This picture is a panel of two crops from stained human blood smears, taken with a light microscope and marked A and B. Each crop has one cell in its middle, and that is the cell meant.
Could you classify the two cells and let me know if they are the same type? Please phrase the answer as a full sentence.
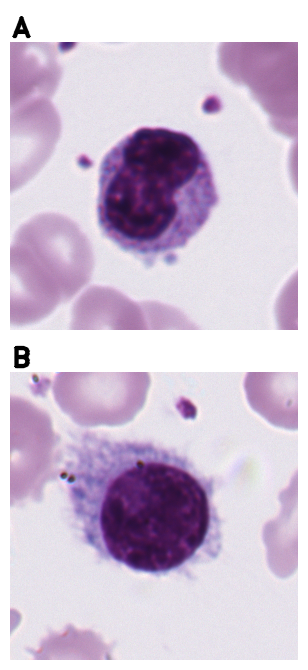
No, crop A shows a large granular lymphocyte, whereas a hairy cell is what crop B shows.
